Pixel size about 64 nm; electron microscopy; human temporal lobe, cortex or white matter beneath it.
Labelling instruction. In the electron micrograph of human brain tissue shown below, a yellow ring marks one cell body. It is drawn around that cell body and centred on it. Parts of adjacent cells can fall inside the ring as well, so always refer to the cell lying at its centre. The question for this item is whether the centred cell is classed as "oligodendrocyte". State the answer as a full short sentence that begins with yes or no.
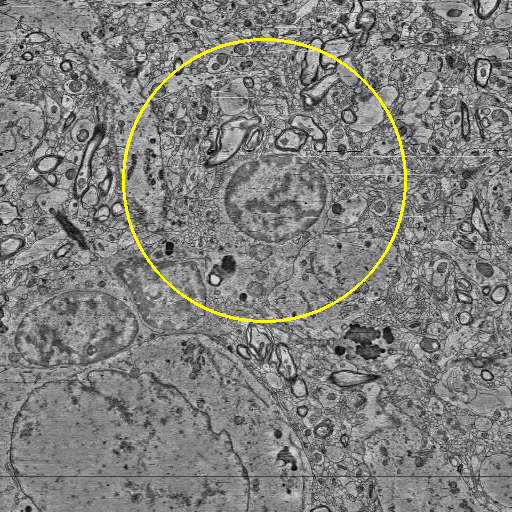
Yes, the centred cell is of that class.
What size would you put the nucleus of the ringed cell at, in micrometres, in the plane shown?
The nucleus of the ringed cell is approximately 6 micrometres across in this plane.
